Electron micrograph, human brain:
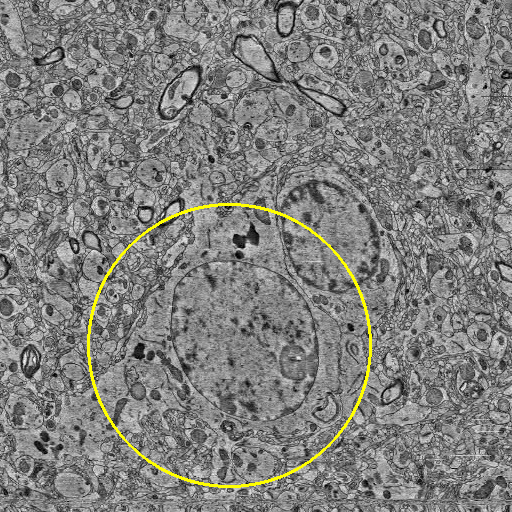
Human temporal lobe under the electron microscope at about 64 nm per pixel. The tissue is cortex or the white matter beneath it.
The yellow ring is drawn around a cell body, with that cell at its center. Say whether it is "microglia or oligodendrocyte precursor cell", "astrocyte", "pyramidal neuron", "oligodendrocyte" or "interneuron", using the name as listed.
astrocyte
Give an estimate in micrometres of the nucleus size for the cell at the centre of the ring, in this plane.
In this plane the nucleus measures roughly 11 by 9 micrometers.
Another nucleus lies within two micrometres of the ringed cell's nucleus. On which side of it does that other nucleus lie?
The other nucleus is located to the upper right of it.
